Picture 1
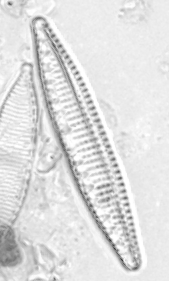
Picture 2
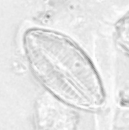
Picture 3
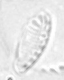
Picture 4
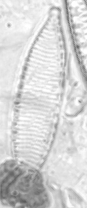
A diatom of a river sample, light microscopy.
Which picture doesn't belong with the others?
Picture 2.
